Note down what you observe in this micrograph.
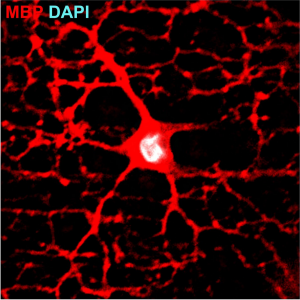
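A single mature oligodendrocyte is seen in culture, with a central cell body holding a bright, rounded nucleus. From the cell body several thick primary processes radiate and branch repeatedly into finer processes. The fine branches join into a dense, lacy network of red membrane that covers much of the field, with small beaded swellings along the branches.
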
